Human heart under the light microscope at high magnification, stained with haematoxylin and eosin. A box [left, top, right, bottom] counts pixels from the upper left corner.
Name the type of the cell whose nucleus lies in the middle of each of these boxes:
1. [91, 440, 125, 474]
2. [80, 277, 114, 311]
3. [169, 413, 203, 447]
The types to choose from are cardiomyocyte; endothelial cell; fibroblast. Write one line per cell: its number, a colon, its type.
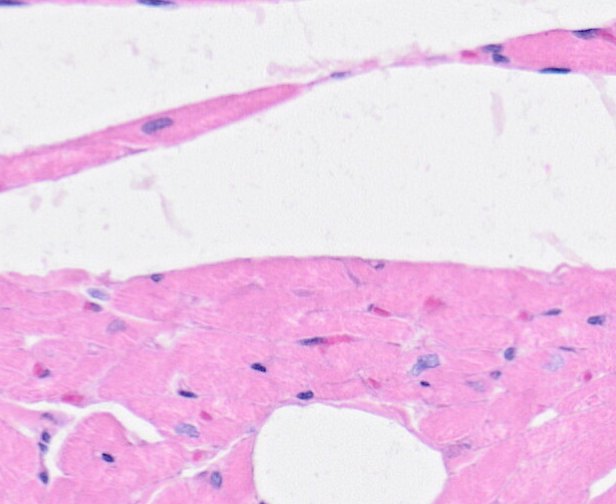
1: endothelial cell
2: fibroblast
3: cardiomyocyte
